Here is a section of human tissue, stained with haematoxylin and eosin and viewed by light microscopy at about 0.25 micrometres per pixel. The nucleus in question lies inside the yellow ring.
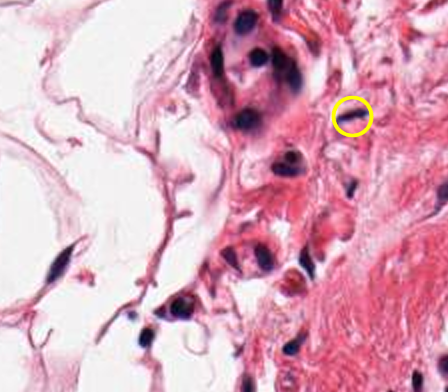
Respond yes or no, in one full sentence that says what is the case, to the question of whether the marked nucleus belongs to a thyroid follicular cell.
No, a supporting cell, not a thyroid follicular cell, carries the marked nucleus.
